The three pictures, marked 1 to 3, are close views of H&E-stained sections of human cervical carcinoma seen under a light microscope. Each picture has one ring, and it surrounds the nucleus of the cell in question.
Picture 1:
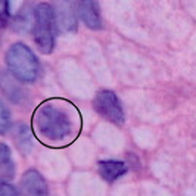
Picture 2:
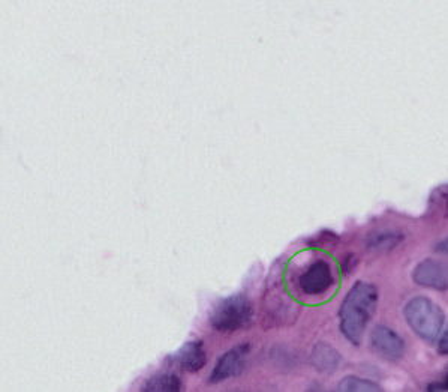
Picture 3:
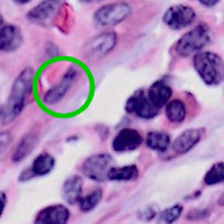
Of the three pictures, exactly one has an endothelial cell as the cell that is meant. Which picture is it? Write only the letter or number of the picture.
3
